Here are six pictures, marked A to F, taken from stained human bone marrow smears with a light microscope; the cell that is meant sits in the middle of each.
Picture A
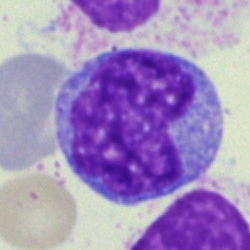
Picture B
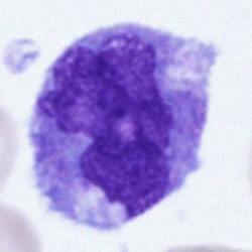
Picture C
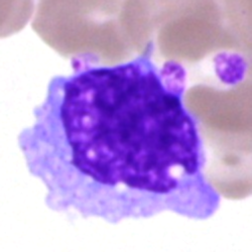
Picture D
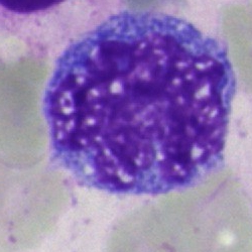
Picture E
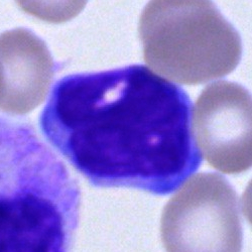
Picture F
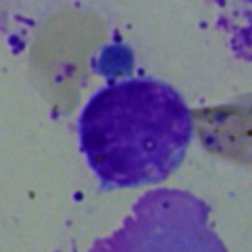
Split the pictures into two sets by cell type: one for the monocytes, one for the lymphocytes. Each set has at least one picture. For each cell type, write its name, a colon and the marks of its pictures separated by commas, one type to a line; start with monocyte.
monocyte: A, B, C, D
lymphocyte: E, F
